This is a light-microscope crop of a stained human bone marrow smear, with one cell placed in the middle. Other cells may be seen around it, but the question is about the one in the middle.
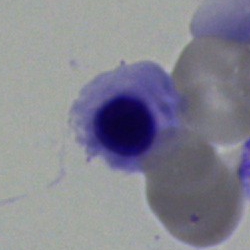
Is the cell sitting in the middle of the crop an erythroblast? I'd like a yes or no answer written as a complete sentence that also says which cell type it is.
Yes, the identification of the central cell as an erythroblast is correct.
